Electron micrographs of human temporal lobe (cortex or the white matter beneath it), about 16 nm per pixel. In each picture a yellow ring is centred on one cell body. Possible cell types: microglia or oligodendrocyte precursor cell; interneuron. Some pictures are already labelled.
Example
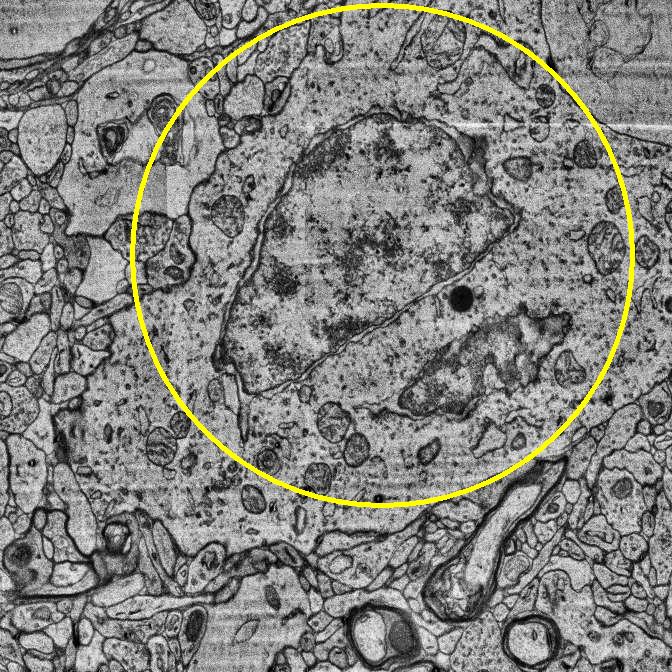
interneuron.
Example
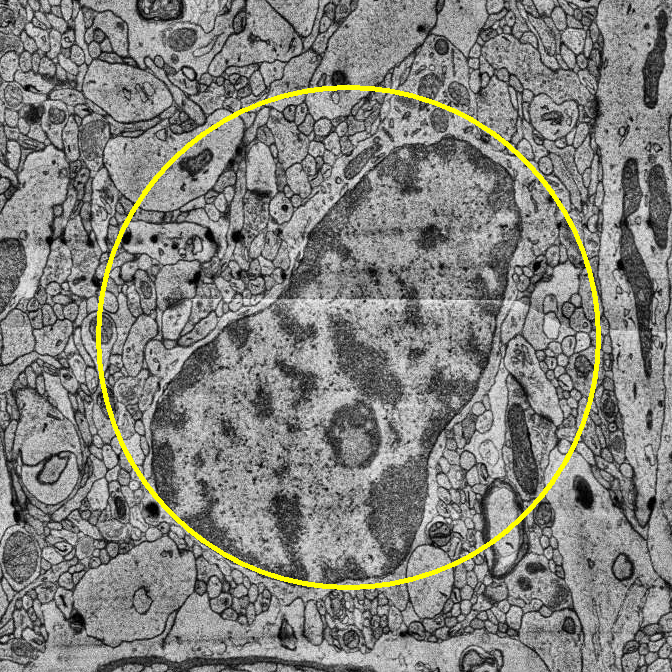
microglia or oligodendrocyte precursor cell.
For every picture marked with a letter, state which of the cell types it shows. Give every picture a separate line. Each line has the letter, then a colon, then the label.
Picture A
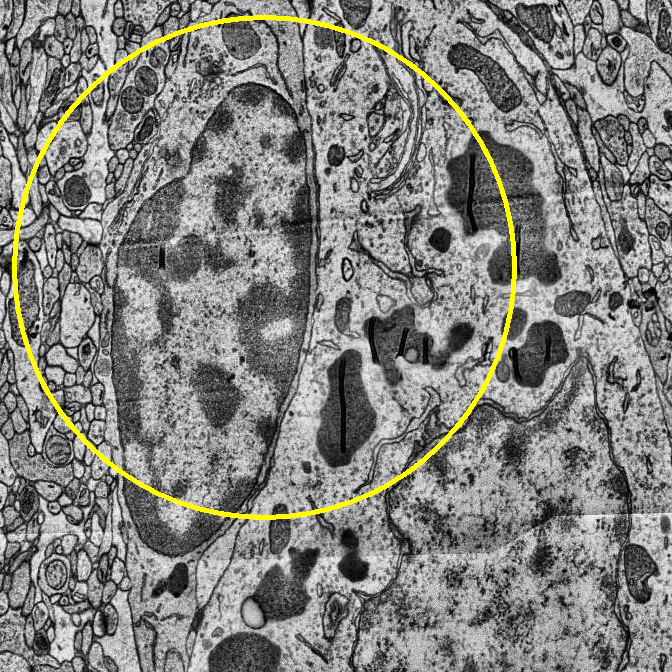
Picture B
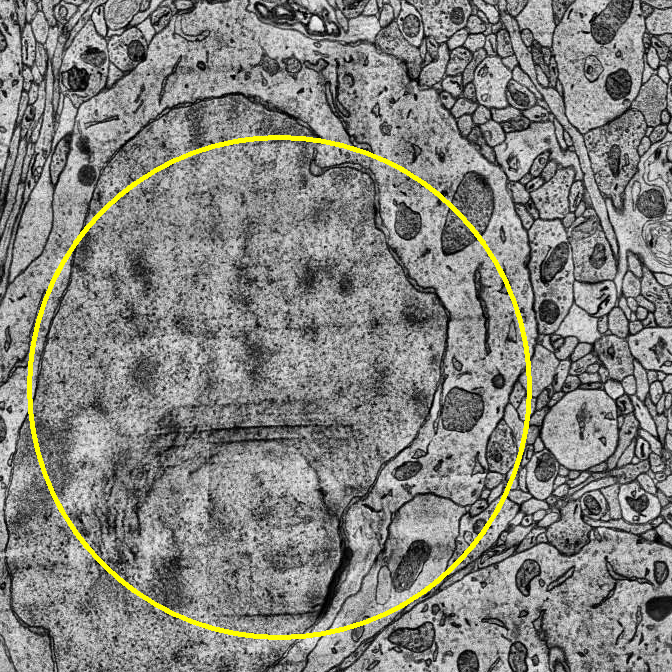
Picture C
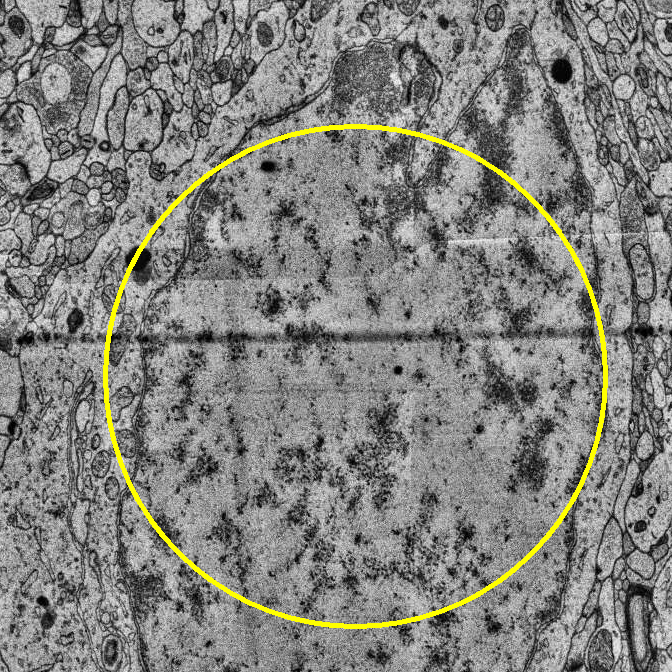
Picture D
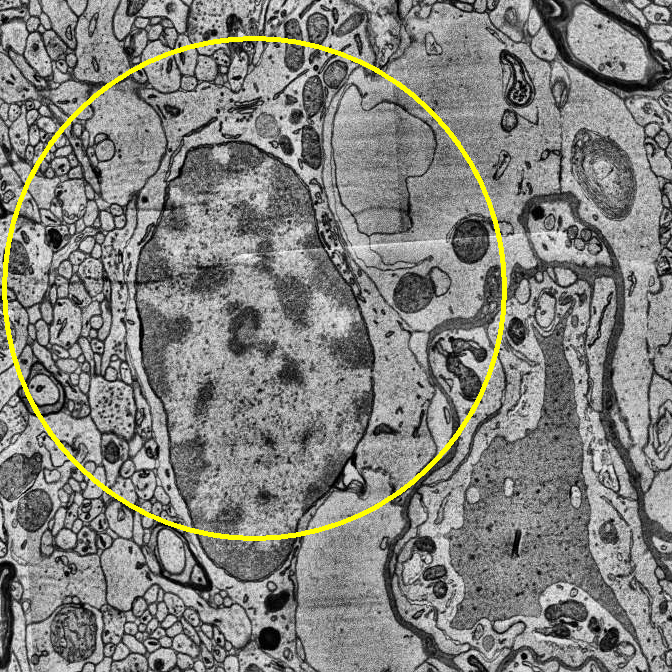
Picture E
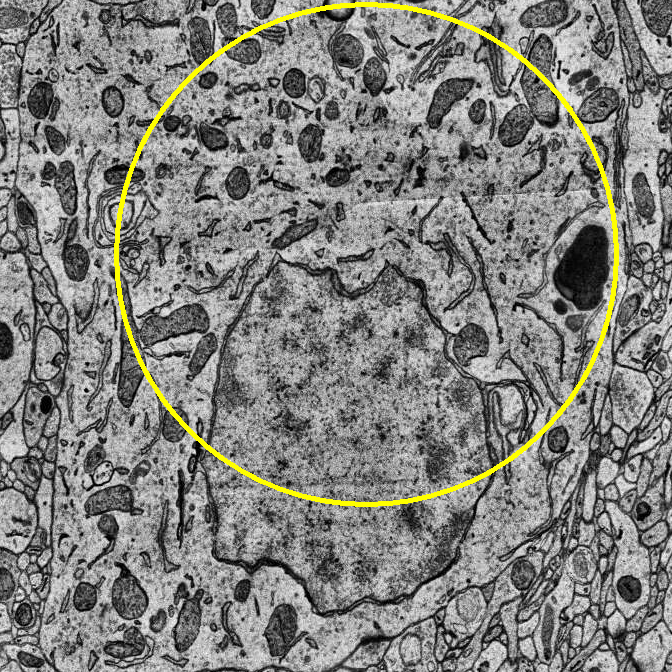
A: microglia or oligodendrocyte precursor cell.
B: interneuron.
C: interneuron.
D: microglia or oligodendrocyte precursor cell.
E: interneuron.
